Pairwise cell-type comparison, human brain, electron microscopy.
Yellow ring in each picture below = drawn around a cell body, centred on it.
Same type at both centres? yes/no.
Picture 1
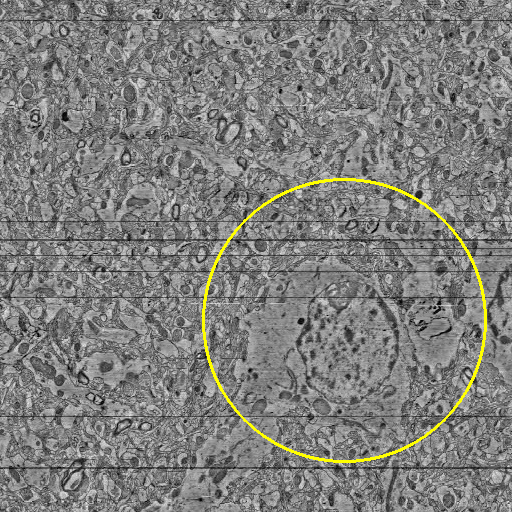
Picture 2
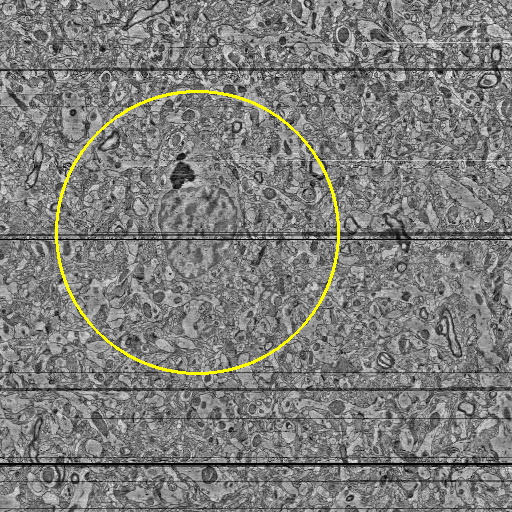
no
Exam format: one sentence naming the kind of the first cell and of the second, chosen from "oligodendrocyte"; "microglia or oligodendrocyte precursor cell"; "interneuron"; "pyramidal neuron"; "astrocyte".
The first picture's cell is an astrocyte, and the second picture's cell is an oligodendrocyte.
